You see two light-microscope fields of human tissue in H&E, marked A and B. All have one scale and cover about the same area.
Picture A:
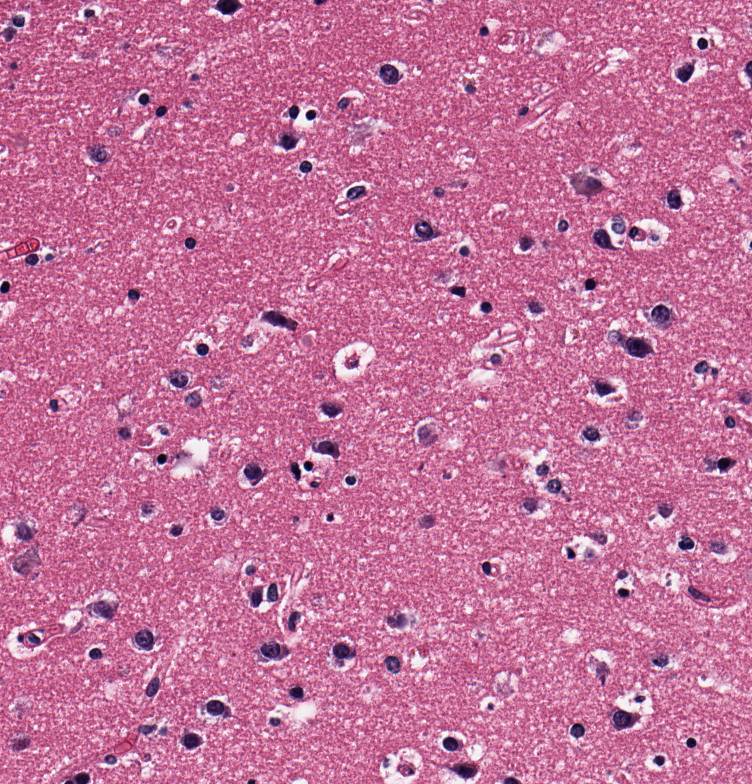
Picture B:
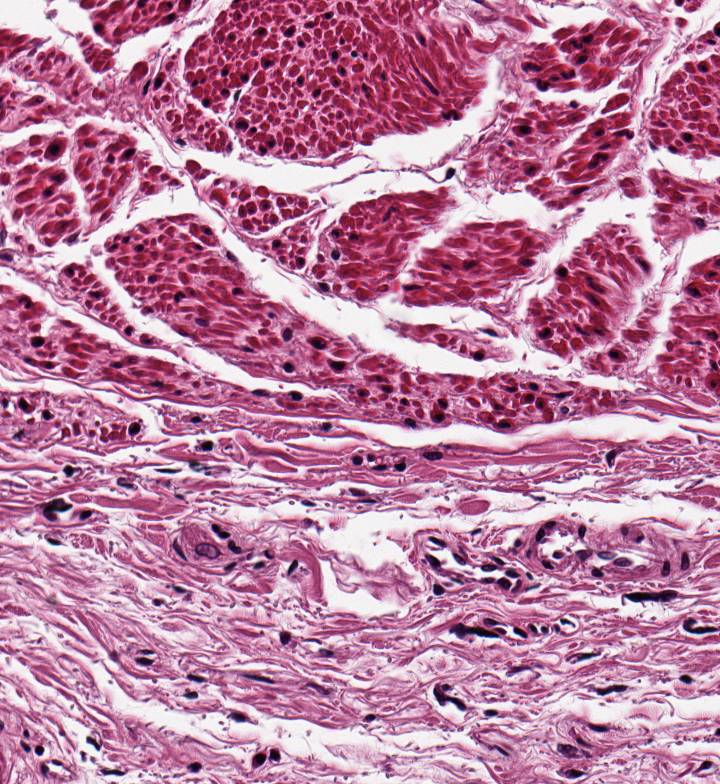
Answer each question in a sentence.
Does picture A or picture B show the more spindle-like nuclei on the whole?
On the whole the nuclei of picture B are more drawn out than those of picture A.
